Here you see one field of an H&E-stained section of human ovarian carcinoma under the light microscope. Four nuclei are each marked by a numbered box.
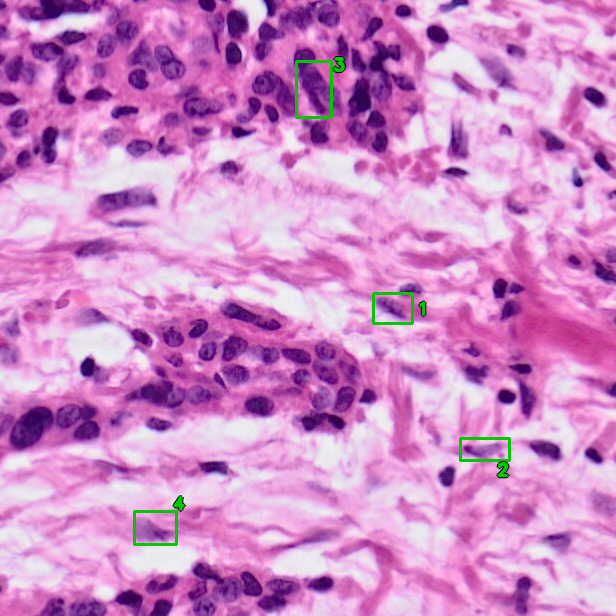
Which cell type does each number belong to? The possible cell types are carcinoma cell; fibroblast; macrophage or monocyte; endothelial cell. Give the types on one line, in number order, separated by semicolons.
fibroblast; fibroblast; carcinoma cell; fibroblast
